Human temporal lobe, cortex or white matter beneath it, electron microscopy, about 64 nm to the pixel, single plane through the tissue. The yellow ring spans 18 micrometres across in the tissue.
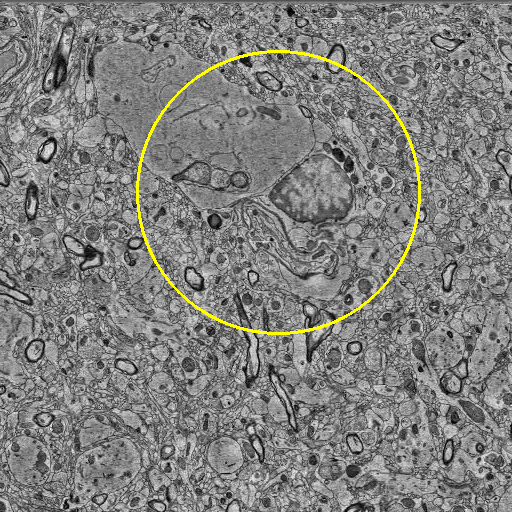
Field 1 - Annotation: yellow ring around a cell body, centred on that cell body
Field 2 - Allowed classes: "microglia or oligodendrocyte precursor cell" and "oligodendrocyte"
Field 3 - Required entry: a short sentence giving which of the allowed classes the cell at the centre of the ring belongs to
The centred cell is a microglial cell or oligodendrocyte precursor cell.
